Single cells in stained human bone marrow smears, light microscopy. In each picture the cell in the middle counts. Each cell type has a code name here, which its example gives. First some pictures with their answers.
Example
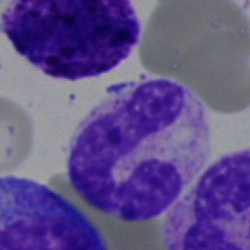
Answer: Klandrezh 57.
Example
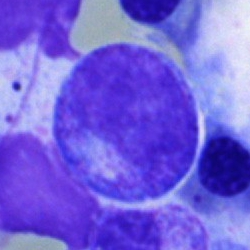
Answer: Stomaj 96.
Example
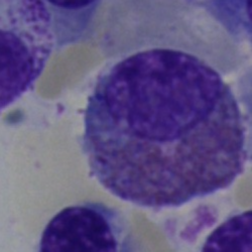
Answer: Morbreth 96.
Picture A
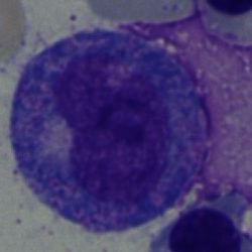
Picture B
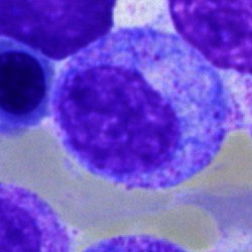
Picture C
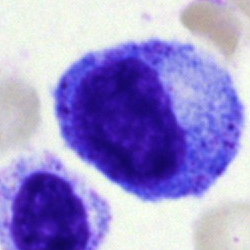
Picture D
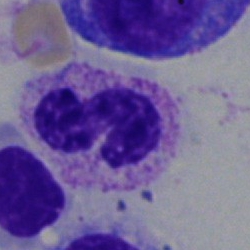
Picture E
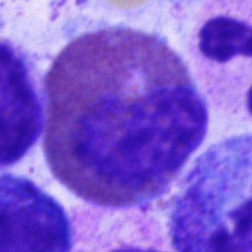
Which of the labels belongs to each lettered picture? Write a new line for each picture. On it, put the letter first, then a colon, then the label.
A: Stomaj 96.
B: Stomaj 96.
C: Stomaj 96.
D: Klandrezh 57.
E: Morbreth 96.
